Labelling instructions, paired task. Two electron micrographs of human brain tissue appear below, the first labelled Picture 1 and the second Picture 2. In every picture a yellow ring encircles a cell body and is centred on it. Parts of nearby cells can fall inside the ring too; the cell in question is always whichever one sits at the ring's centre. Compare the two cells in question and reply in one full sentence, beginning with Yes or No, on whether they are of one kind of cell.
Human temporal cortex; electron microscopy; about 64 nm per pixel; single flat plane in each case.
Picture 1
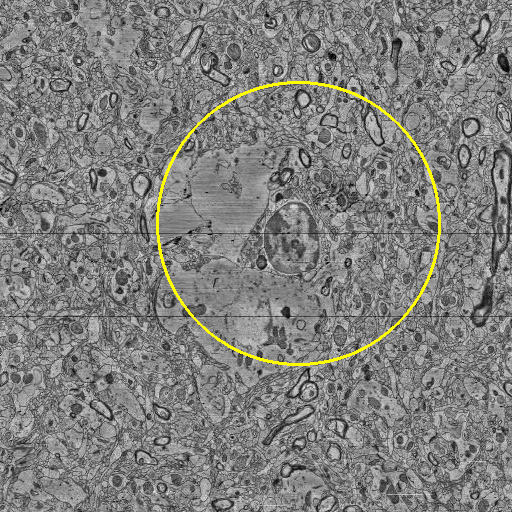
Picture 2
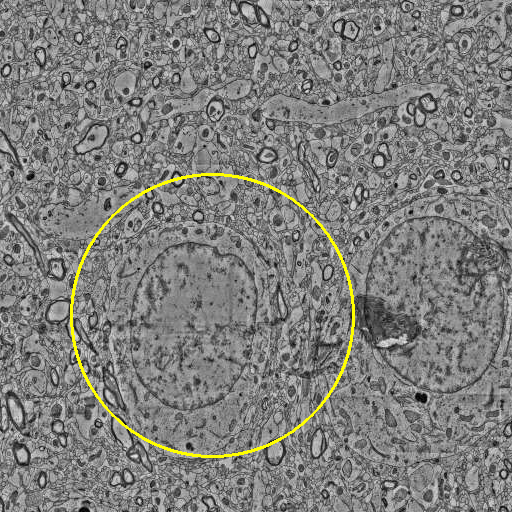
No, the two cells at the ring centres in Picture 1 and Picture 2 are of two kinds.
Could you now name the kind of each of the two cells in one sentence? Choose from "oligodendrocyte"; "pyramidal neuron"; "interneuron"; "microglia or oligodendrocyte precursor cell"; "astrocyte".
The first ring encloses a microglial cell or oligodendrocyte precursor cell; the second ring encloses a pyramidal neuron.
